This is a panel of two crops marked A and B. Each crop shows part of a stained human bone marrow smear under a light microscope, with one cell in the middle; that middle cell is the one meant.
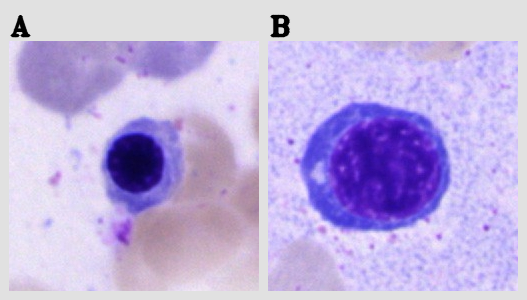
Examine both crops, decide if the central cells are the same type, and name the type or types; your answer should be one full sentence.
Yes, both crops show normoblasts, with no exception.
